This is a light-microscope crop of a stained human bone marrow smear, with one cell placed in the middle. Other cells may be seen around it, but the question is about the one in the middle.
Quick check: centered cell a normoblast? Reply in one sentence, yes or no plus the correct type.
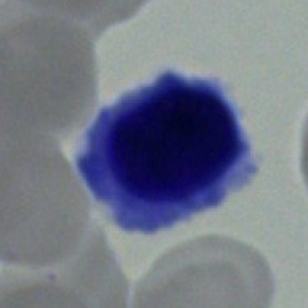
Yes, shown in the middle of the crop is a normoblast.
